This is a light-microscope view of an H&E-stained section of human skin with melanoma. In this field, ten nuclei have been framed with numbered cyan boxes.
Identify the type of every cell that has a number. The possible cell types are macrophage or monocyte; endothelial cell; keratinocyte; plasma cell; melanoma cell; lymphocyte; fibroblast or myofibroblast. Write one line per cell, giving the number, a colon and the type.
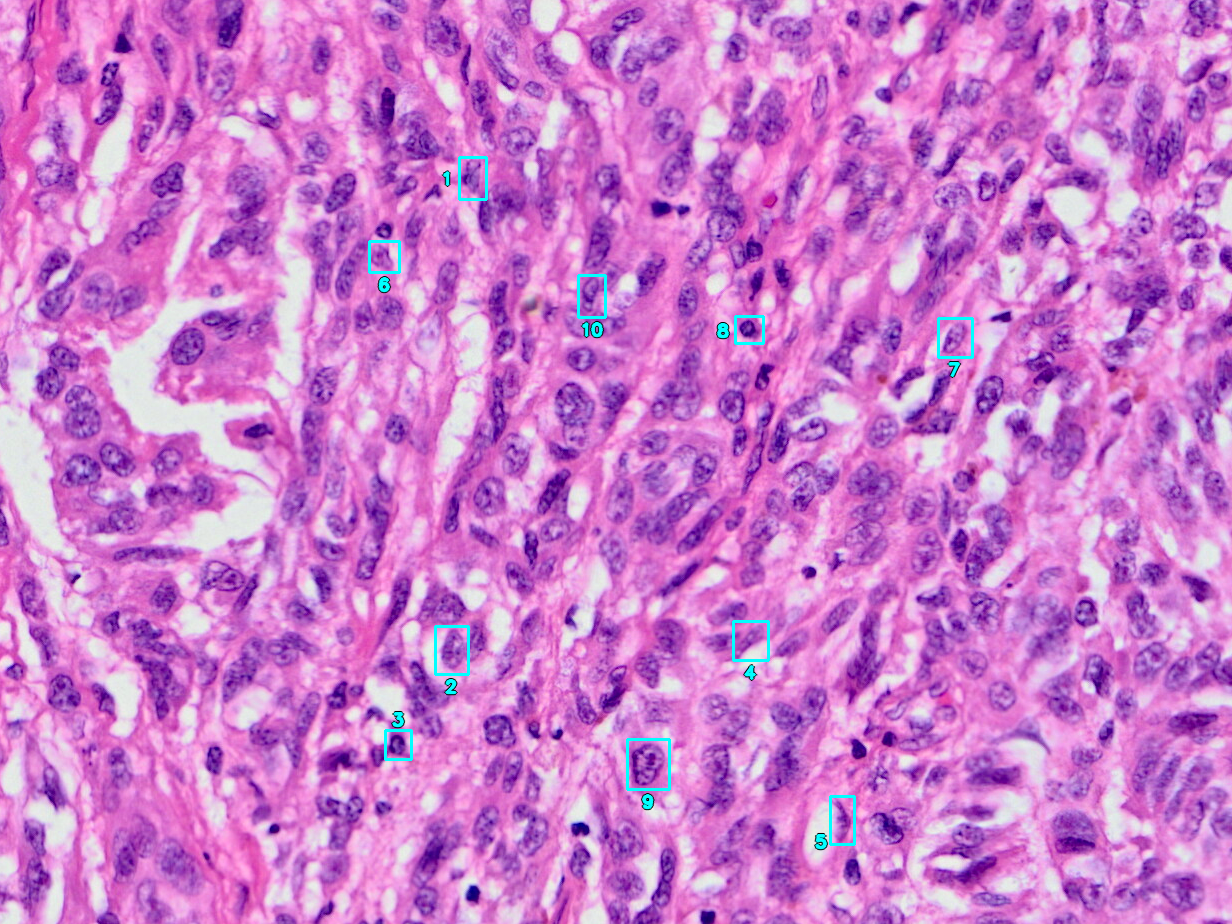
1: macrophage or monocyte
2: melanoma cell
3: plasma cell
4: melanoma cell
5: endothelial cell
6: melanoma cell
7: melanoma cell
8: plasma cell
9: melanoma cell
10: melanoma cell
